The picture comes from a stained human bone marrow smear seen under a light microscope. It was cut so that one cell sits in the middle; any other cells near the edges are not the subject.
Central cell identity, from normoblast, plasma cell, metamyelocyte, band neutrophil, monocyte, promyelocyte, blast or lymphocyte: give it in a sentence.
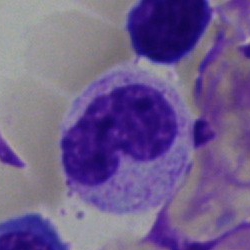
Of the cells in this crop, the central one is a band neutrophil.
